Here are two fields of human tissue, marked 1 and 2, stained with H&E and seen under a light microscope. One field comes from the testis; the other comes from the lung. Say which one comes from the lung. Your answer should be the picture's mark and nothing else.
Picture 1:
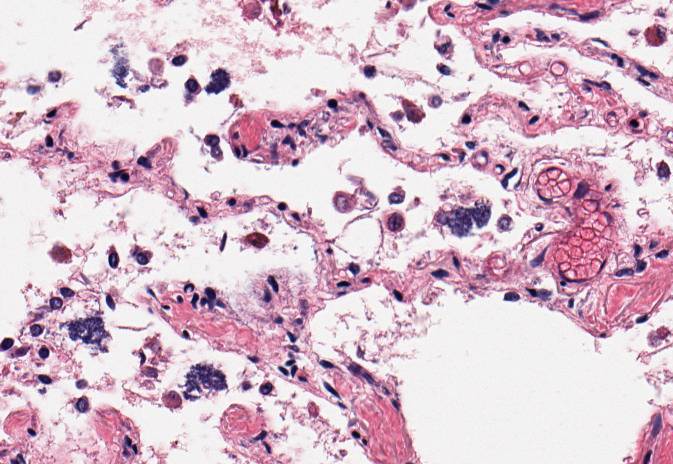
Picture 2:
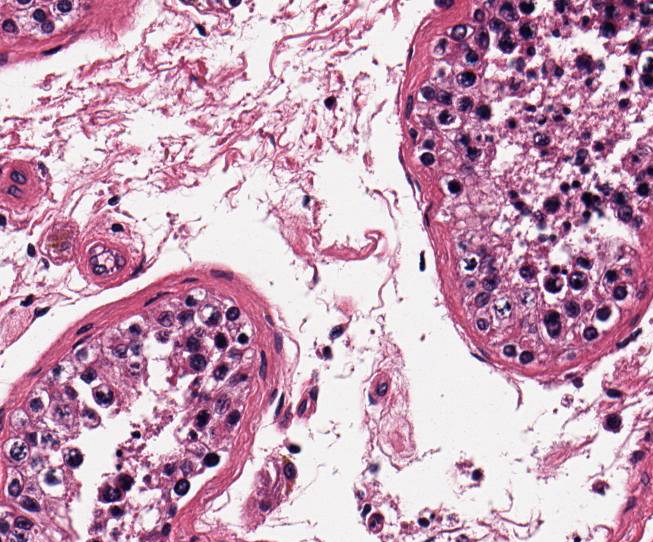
1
